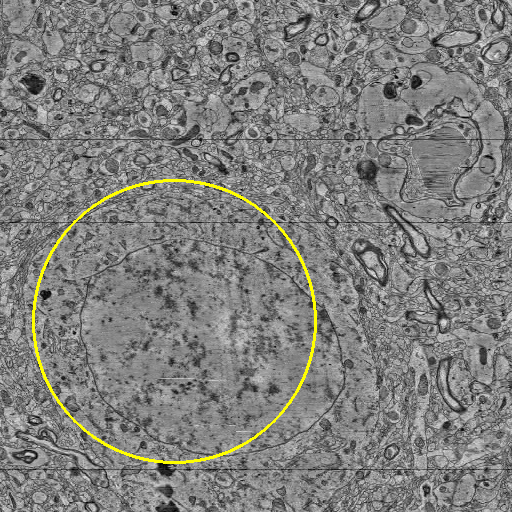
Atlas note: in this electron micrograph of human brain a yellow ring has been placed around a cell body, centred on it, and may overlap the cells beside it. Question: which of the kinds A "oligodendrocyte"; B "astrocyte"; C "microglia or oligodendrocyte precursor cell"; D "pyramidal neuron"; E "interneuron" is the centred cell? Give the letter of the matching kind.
D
